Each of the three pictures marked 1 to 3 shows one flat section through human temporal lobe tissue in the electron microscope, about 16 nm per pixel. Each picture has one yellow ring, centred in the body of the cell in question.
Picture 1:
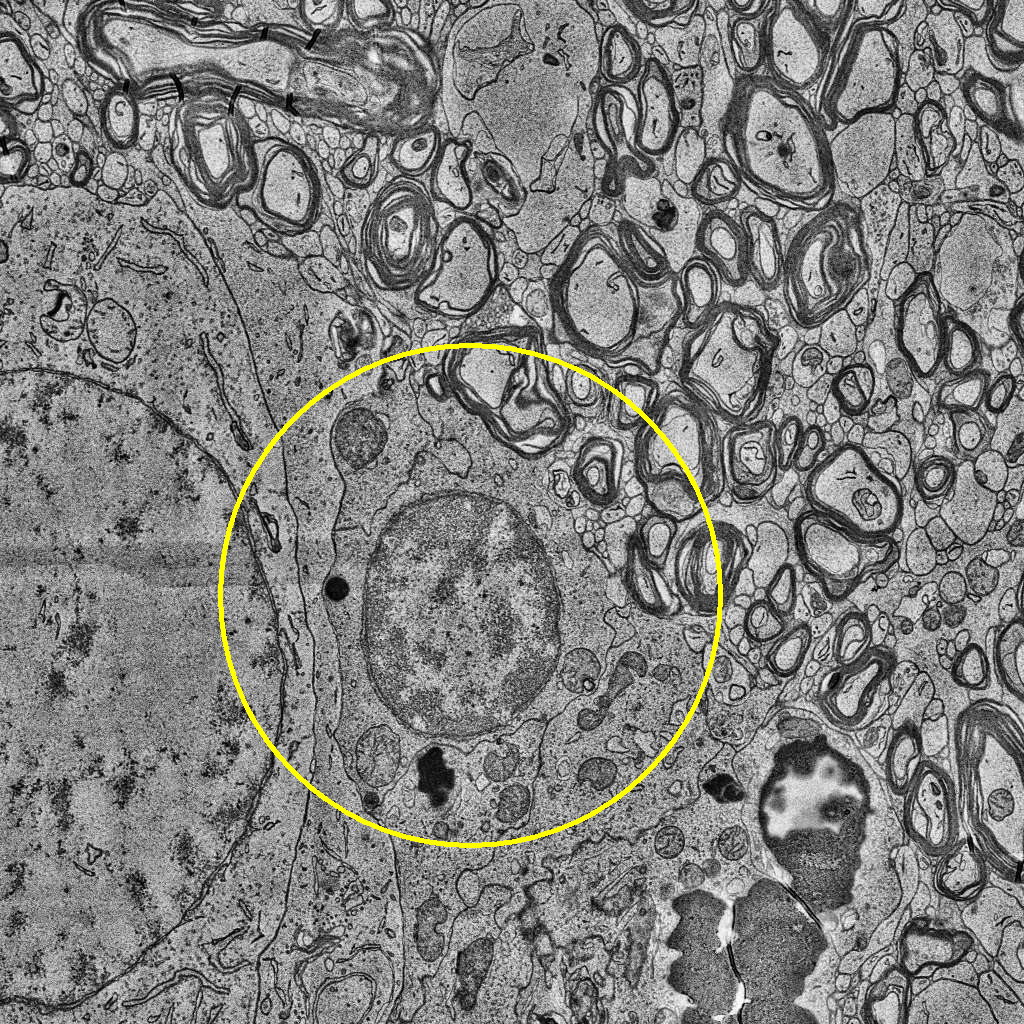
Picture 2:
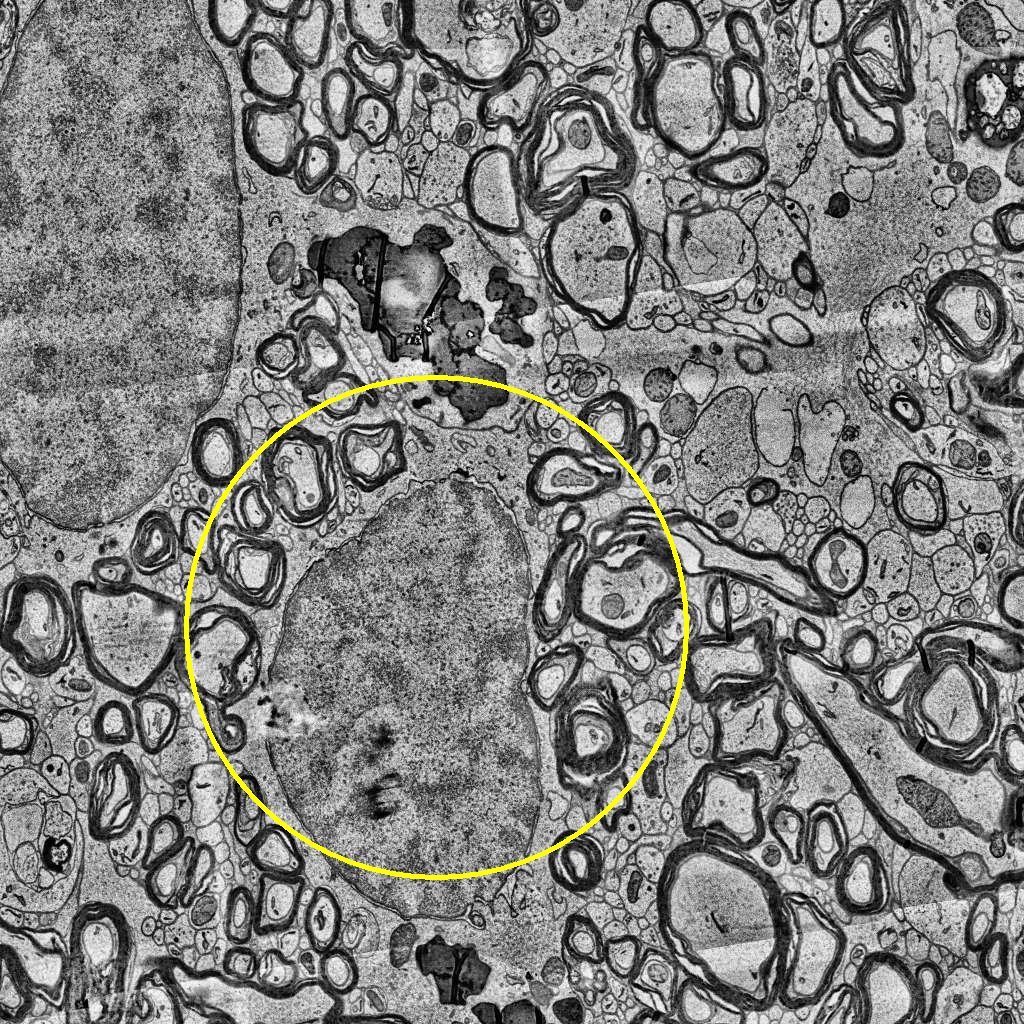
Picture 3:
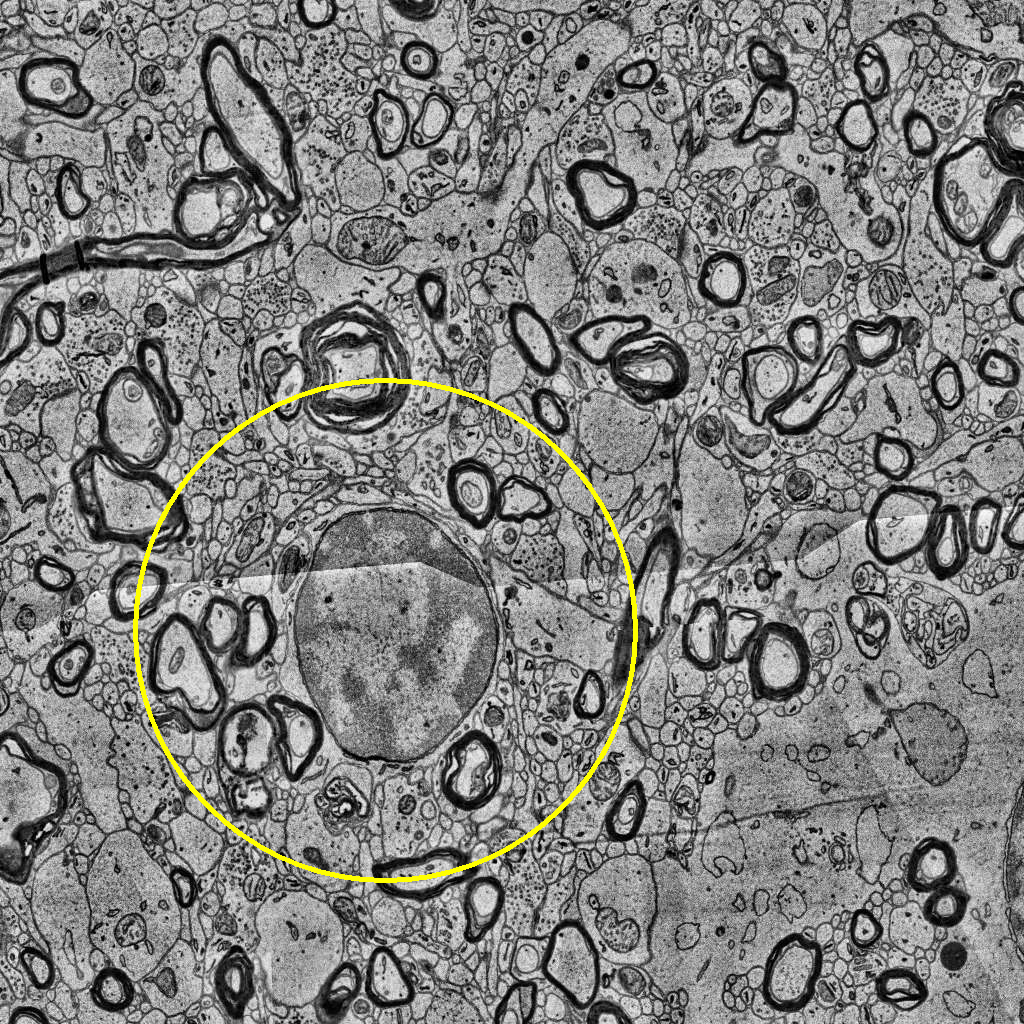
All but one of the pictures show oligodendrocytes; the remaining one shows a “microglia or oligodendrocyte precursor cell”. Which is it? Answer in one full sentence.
It is picture 3 that shows the “microglia or oligodendrocyte precursor cell”.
